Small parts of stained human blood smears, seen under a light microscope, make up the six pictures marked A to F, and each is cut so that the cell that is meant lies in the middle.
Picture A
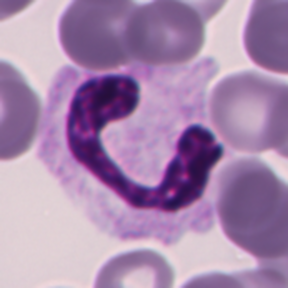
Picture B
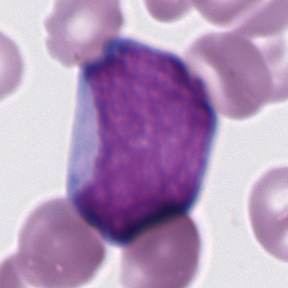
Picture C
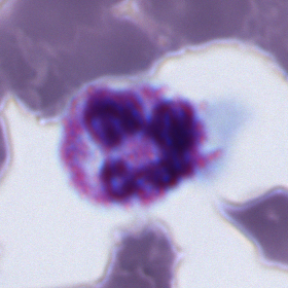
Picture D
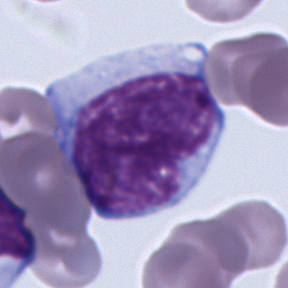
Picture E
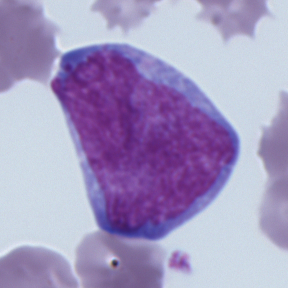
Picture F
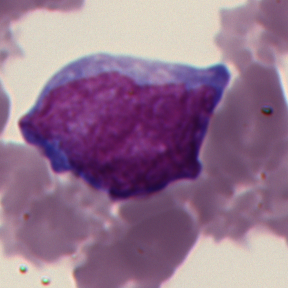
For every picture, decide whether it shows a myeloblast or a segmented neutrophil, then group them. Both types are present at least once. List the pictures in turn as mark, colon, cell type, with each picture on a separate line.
A: segmented neutrophil
B: myeloblast
C: segmented neutrophil
D: myeloblast
E: myeloblast
F: myeloblast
